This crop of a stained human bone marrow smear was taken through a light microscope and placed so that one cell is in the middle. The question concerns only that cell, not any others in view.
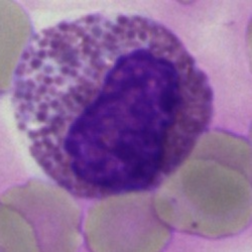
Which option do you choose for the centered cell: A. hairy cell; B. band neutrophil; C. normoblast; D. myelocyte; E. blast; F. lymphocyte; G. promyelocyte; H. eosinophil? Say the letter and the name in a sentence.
Since the middle cell is an eosinophil, option H is the right one.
